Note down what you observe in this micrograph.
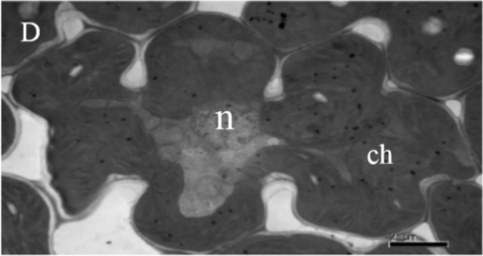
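These are leaf cells seen by transmission electron microscopy, with a pale nucleus in the middle surrounded by closely packed chloroplasts. The chloroplasts are large, lens- to lobe-shaped and uniformly dense, dotted with small dark round droplets, and fill most of the cell up against the wall, with pale air spaces between the cells.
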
